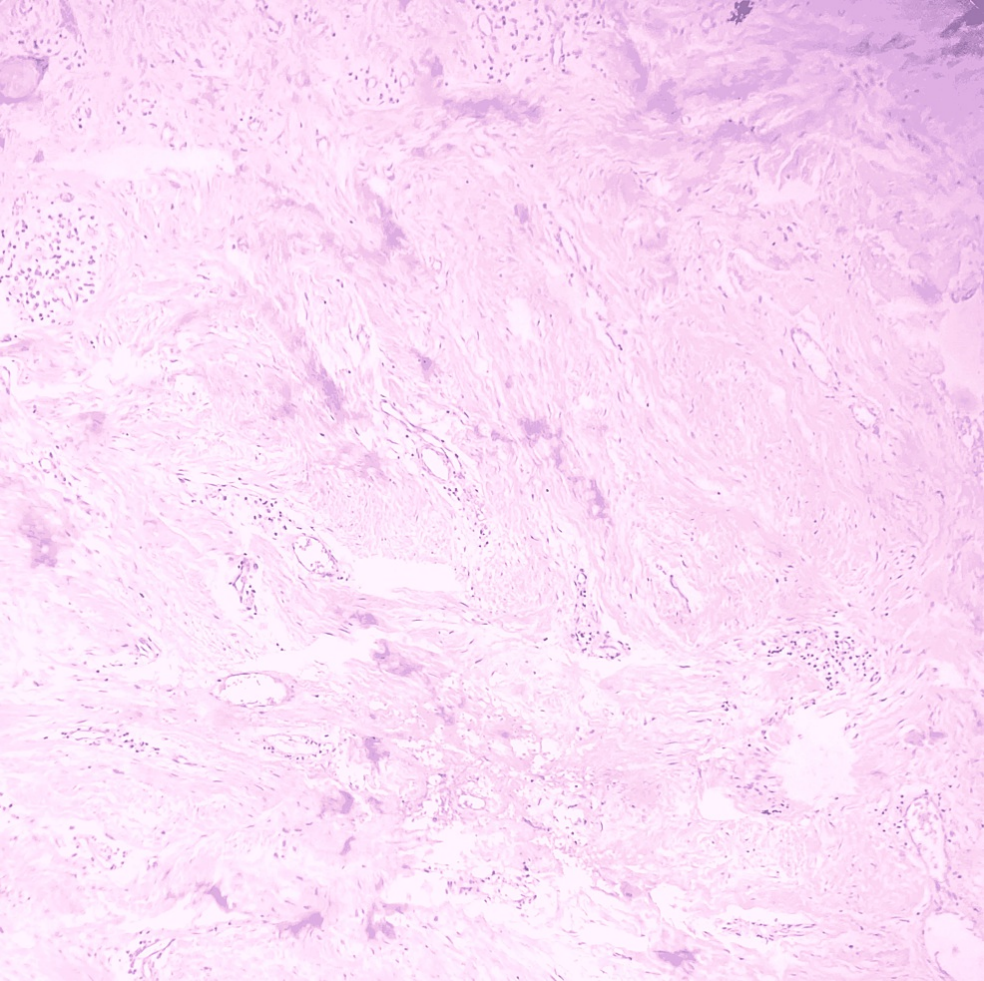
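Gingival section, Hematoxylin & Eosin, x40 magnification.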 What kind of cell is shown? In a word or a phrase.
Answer: Fibroblasts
